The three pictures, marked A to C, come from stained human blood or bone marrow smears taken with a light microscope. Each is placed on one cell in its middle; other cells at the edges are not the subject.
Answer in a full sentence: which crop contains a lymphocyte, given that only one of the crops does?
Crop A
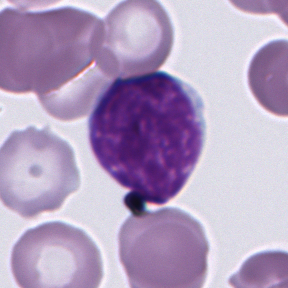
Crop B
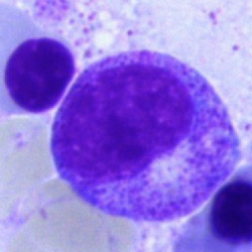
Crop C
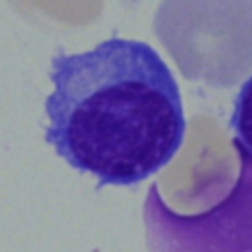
Crop A shows a lymphocyte, and no other crop does.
